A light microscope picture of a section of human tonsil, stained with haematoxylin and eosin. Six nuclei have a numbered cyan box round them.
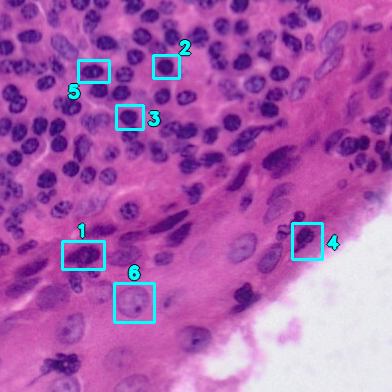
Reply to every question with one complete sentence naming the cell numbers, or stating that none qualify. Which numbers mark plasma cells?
In this section, the cells labelled 2, 3 and 5 are plasma cells.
